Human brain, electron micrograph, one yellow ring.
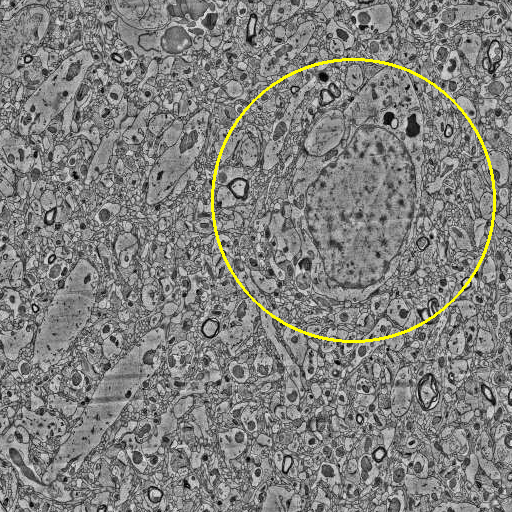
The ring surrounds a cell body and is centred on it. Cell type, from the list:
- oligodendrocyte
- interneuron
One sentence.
The yellow ring circles an interneuron.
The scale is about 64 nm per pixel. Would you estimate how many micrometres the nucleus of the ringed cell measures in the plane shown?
About 10 by 7 micrometers for the nucleus, in this plane.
